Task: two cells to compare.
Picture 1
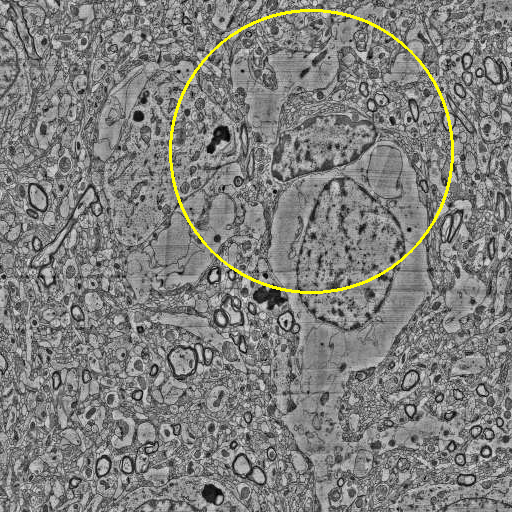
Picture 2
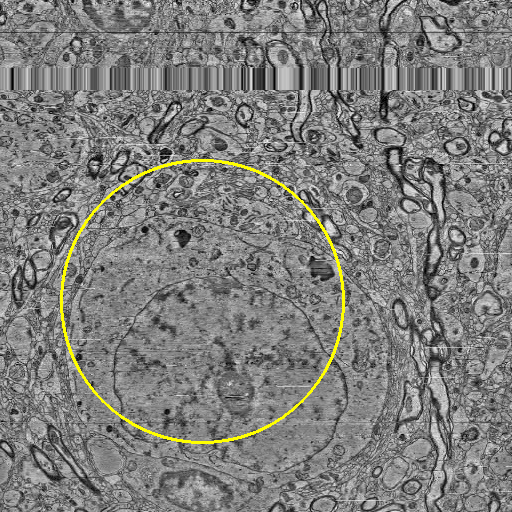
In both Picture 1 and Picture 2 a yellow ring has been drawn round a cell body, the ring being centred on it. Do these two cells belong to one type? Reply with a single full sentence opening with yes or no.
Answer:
No, the two cells at the ring centres in Picture 1 and Picture 2 are of two types.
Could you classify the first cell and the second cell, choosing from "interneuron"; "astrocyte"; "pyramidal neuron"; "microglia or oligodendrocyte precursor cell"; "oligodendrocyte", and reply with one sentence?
The second cell is a pyramidal neuron, while the first is a microglial cell or oligodendrocyte precursor cell.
